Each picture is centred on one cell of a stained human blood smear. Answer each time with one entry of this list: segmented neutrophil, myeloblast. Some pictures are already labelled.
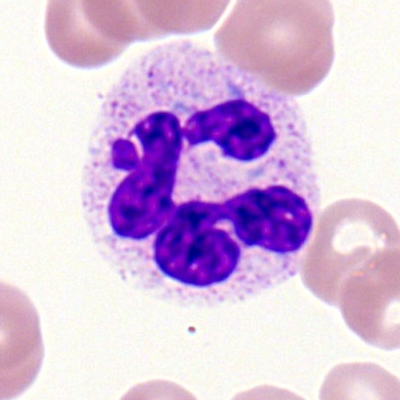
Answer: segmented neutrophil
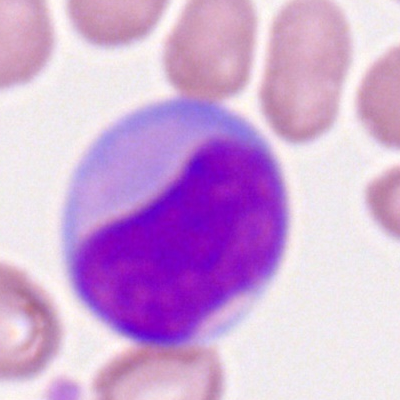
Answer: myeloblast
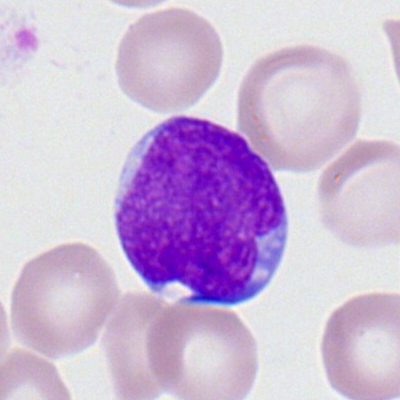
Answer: myeloblast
